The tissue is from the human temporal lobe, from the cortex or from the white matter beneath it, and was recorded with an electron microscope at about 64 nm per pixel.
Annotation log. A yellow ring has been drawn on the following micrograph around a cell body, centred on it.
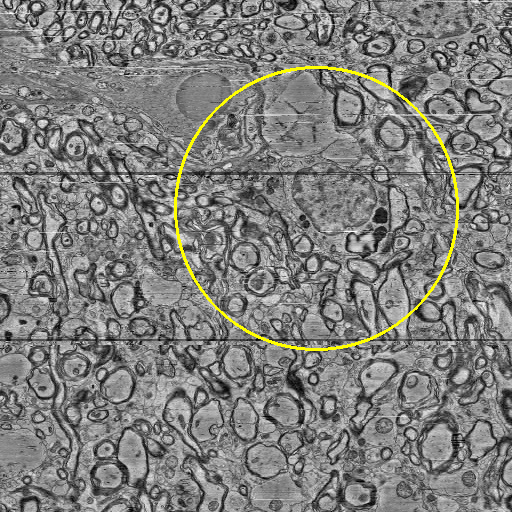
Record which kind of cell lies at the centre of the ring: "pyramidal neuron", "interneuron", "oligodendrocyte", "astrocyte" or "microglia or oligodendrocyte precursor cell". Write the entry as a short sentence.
The cell the ring is centred on is an oligodendrocyte.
